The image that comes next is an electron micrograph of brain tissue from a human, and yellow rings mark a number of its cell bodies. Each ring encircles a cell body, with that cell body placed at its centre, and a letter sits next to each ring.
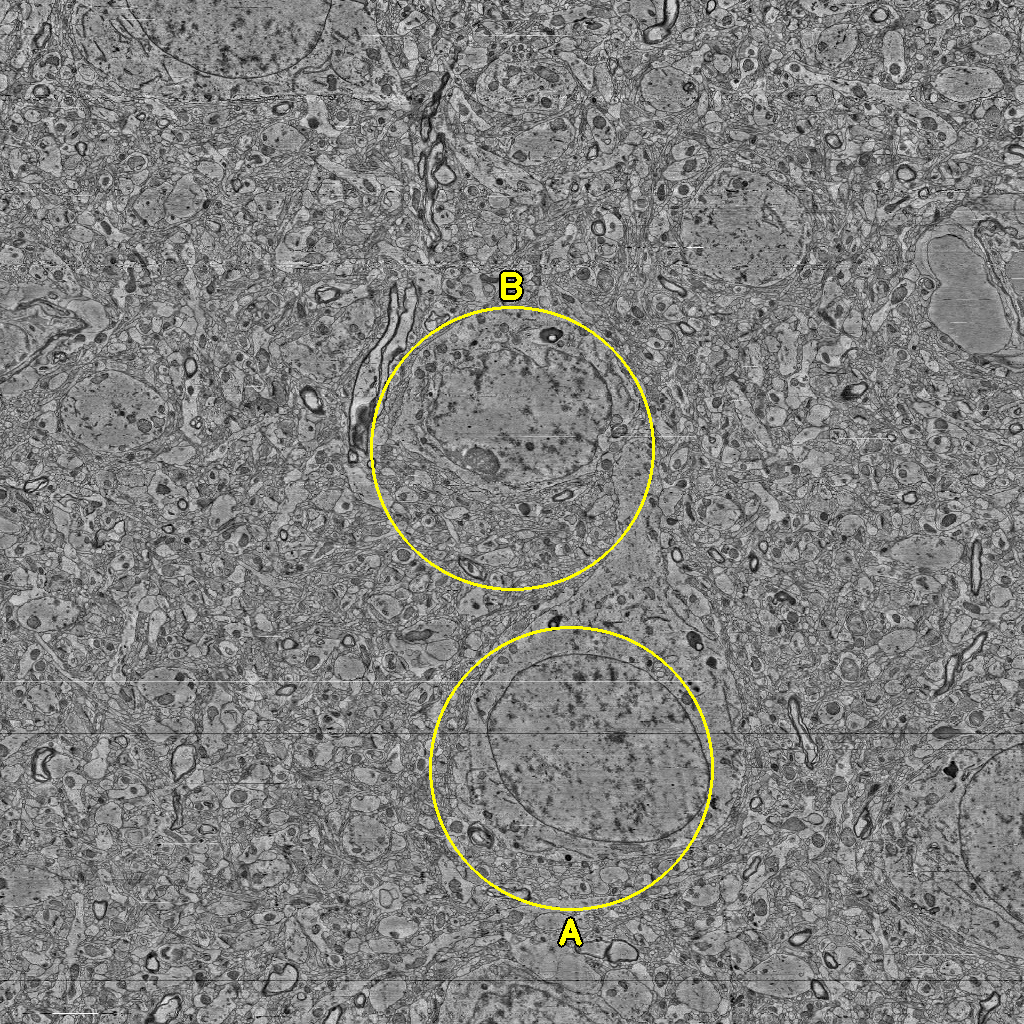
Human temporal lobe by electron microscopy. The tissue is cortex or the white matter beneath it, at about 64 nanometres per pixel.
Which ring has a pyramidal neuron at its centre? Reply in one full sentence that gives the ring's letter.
In the image, ring A has the cell the question asks for at its centre.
